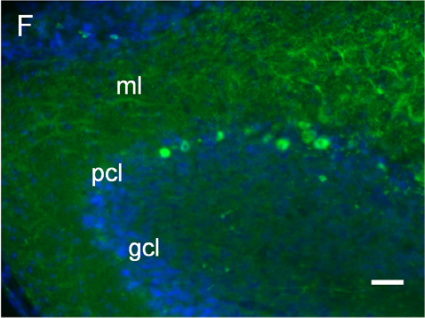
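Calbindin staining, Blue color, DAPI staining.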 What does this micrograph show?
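Cerebellar cortex with a granule cell layer of densely packed blue nuclei bordered by the molecular layer, which is filled with a green fibrous meshwork. Only a few small, rounded green Purkinje cell bodies are present along the border between these layers, spaced with long gaps where the row of cell bodies is missing.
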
